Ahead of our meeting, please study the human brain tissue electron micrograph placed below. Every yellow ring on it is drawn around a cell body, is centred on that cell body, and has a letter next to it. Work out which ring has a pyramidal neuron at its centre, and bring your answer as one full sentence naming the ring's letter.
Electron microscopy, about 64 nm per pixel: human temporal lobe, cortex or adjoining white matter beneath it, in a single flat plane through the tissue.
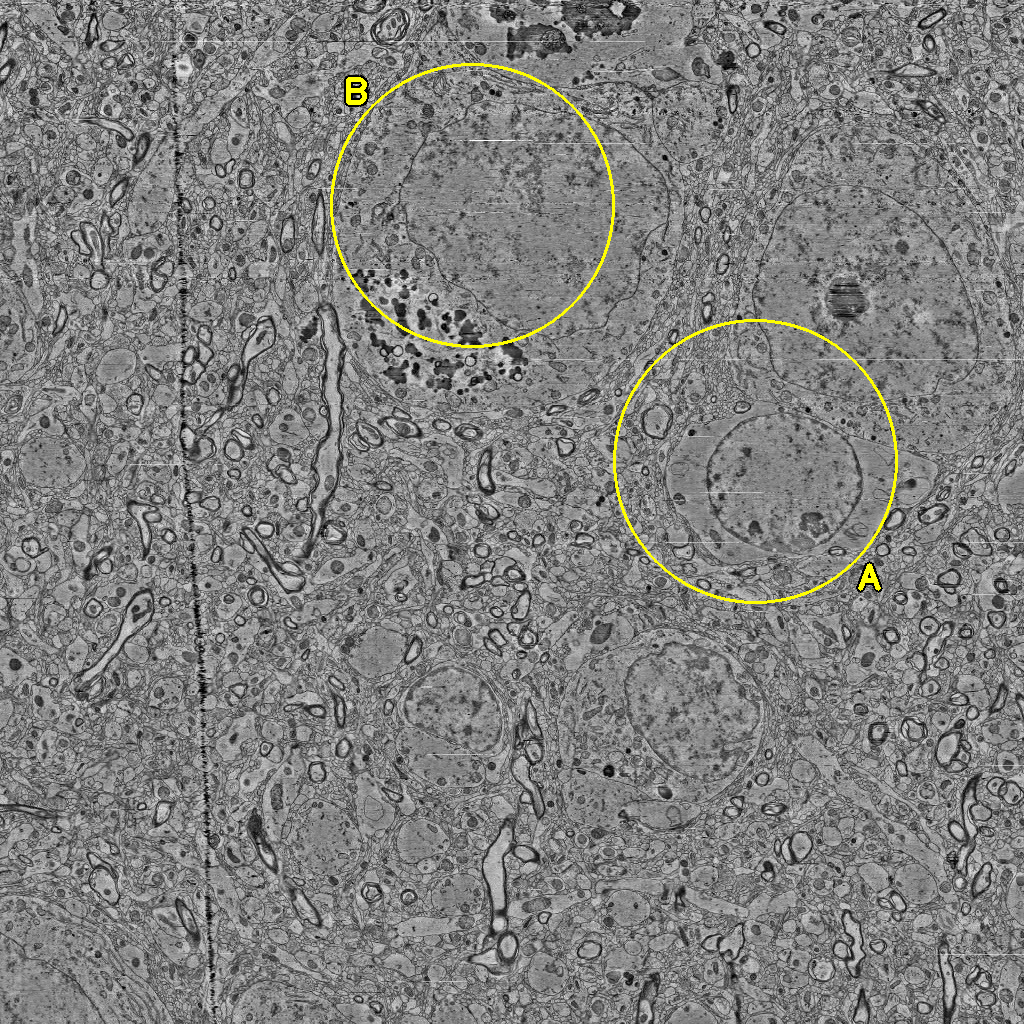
In the micrograph, ring B is the one centred on the cell I was asked to find.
